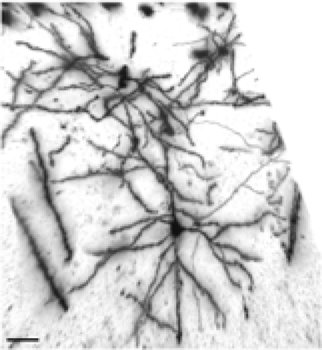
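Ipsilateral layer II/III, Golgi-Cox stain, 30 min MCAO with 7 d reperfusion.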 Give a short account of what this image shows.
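Several dendrites leave the cell body and branch as they run outward, some spreading upward and sideways and others descending toward the bottom of the field. The neuron and its processes are impregnated solid black against a pale background, with no internal detail of nucleus or cytoplasm. Other partly impregnated processes and a few thick dark streaks, probably vessels or impregnation artefacts, lie elsewhere in the field.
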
